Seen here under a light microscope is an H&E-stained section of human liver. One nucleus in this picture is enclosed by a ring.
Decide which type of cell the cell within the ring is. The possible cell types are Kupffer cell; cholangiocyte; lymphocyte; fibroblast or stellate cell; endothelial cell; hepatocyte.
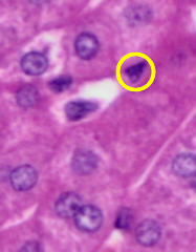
fibroblast or stellate cell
